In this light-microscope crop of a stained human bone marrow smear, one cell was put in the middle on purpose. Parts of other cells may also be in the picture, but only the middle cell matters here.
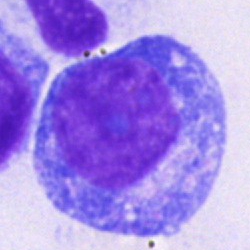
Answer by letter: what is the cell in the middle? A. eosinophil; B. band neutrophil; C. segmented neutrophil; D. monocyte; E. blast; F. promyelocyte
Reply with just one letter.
F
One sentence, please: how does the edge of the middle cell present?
No projections interrupt the outline; it is smooth all the way round.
